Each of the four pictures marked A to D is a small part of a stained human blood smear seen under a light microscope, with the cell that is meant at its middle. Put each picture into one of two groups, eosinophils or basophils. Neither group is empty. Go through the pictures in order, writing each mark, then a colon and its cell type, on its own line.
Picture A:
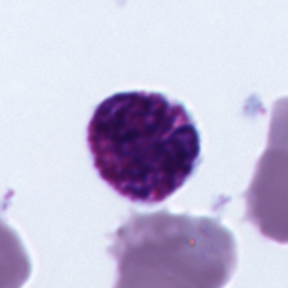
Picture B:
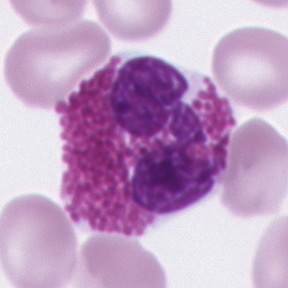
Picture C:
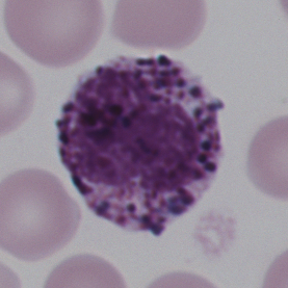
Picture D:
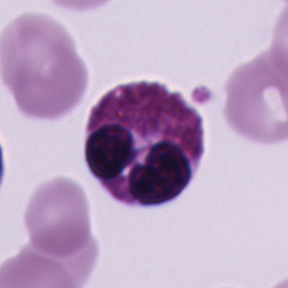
A: eosinophil
B: eosinophil
C: basophil
D: eosinophil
